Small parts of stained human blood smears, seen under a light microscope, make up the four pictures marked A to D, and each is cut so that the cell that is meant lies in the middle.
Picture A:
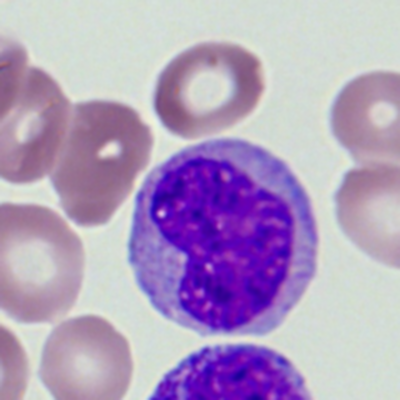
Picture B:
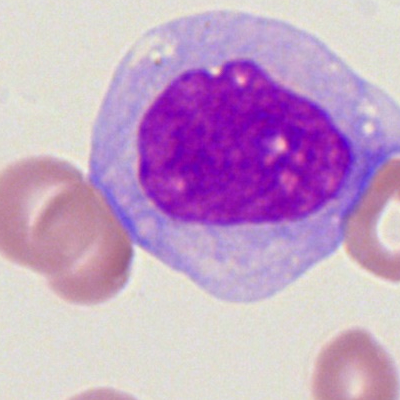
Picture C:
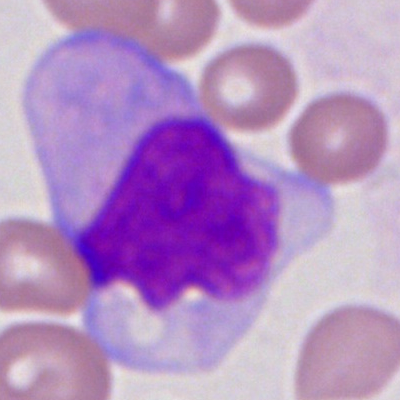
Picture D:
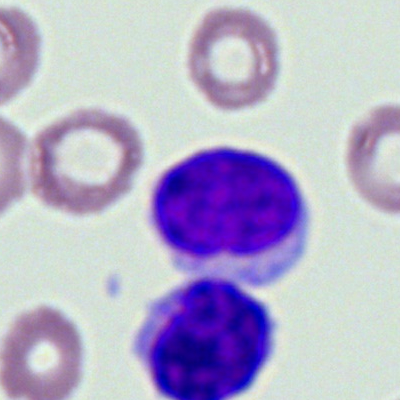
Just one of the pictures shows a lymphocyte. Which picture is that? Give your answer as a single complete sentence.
The cell in picture D is the lymphocyte.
